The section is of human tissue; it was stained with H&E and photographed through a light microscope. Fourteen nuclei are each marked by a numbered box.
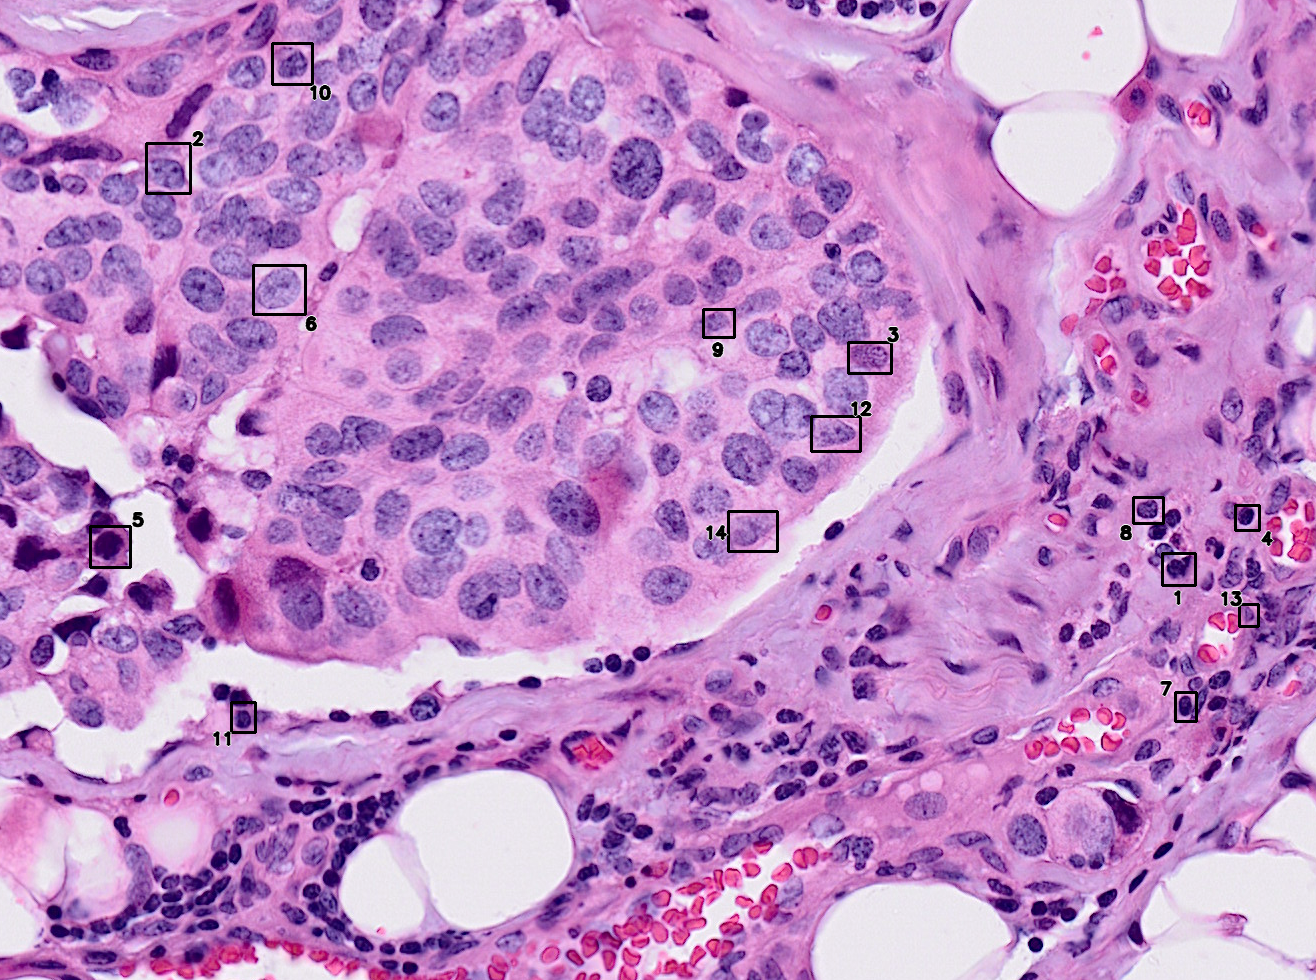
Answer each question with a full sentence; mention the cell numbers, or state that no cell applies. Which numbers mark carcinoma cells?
To be specific, the cells numbered 2, 3, 5, 6, 9, 10, 12 and 14 are carcinoma cells.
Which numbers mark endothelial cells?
Cell 13, and no other numbered cell, is an endothelial cell.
